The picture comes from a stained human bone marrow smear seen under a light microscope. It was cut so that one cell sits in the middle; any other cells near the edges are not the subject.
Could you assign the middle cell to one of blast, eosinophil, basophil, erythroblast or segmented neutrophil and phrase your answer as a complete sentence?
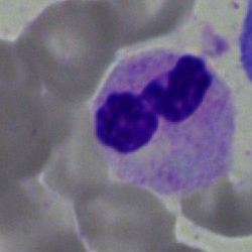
Standing at the centre of this crop is a segmented neutrophil.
